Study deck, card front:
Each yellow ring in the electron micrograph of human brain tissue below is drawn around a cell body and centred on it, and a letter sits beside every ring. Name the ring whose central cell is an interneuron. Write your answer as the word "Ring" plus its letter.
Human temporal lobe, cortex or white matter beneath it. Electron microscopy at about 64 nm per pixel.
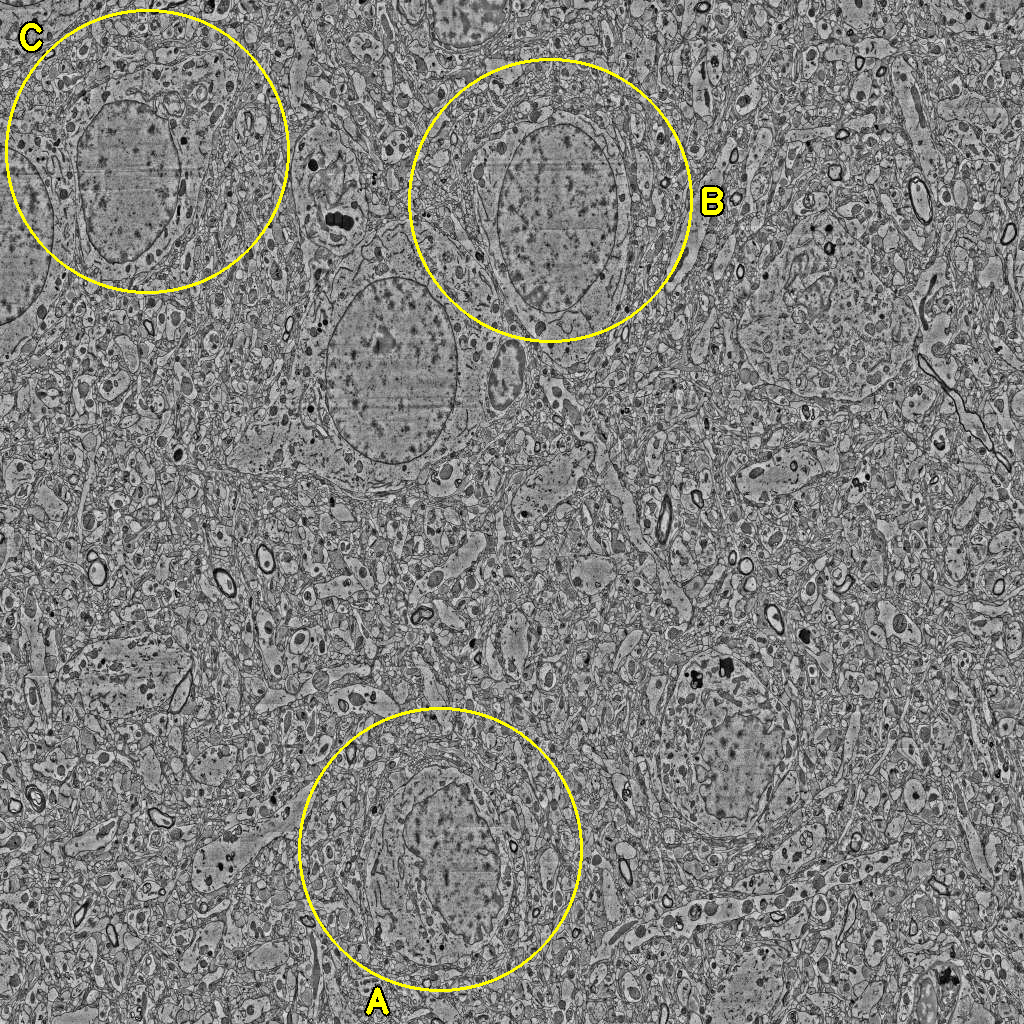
Ring A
